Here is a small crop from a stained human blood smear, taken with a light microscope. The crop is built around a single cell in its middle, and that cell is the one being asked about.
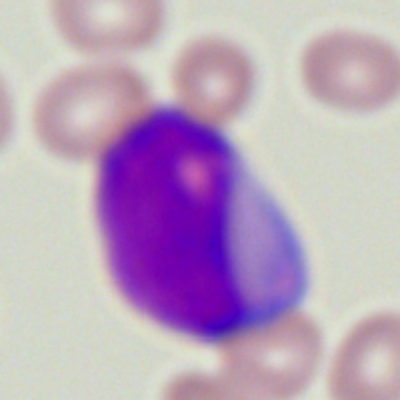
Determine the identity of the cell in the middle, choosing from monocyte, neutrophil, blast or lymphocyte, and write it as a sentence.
The middle cell in this particular crop is a blast.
